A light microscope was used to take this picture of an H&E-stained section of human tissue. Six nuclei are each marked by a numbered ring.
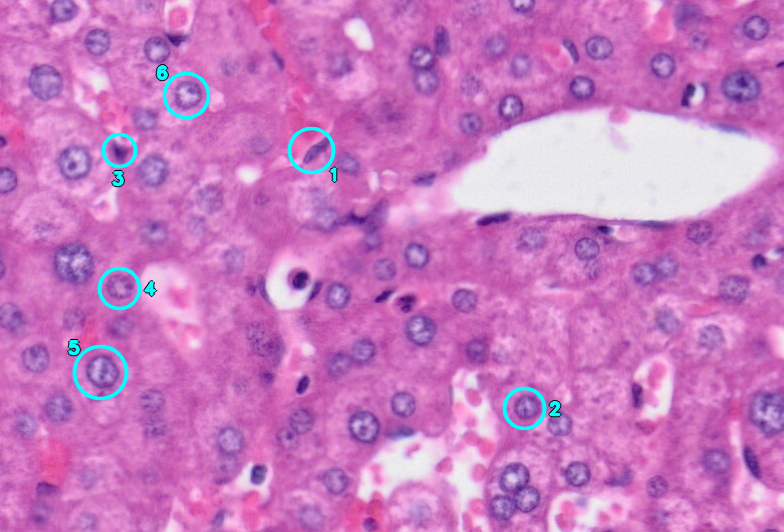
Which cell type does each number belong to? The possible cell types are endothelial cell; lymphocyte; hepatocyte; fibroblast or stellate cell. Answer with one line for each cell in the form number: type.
1: endothelial cell
2: hepatocyte
3: fibroblast or stellate cell
4: hepatocyte
5: hepatocyte
6: hepatocyte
